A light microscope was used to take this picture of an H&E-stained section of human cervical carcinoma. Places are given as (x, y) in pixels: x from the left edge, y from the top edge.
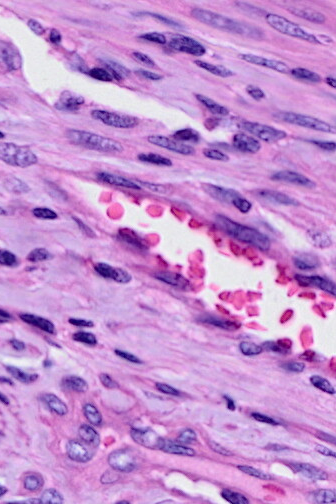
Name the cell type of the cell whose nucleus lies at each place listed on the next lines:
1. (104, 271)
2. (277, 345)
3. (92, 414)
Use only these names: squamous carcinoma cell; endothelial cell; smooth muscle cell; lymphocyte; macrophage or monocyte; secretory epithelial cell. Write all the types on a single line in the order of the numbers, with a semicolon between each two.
lymphocyte; endothelial cell; endothelial cell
